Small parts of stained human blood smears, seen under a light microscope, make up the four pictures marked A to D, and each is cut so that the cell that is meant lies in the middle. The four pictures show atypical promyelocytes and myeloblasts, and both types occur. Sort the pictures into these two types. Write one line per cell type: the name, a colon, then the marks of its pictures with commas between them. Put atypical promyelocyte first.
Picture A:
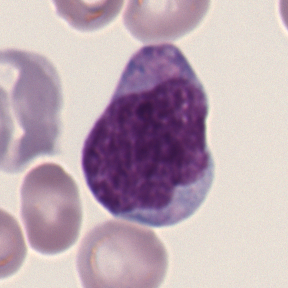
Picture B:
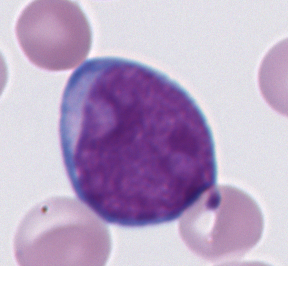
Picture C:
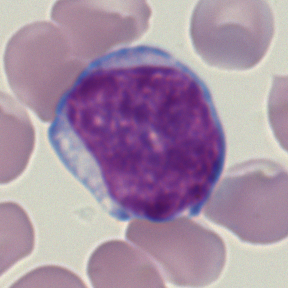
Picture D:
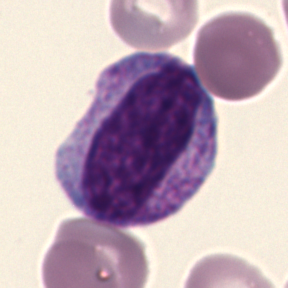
atypical promyelocyte: A, D
myeloblast: B, C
